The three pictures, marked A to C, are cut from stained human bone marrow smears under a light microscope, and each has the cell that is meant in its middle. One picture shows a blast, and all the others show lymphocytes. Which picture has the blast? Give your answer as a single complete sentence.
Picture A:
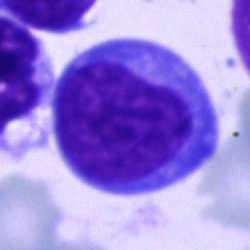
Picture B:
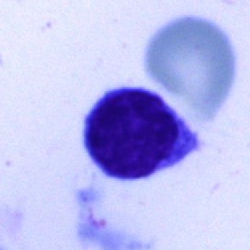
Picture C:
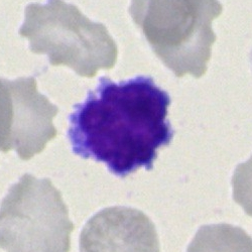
The blast is the one in picture A.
